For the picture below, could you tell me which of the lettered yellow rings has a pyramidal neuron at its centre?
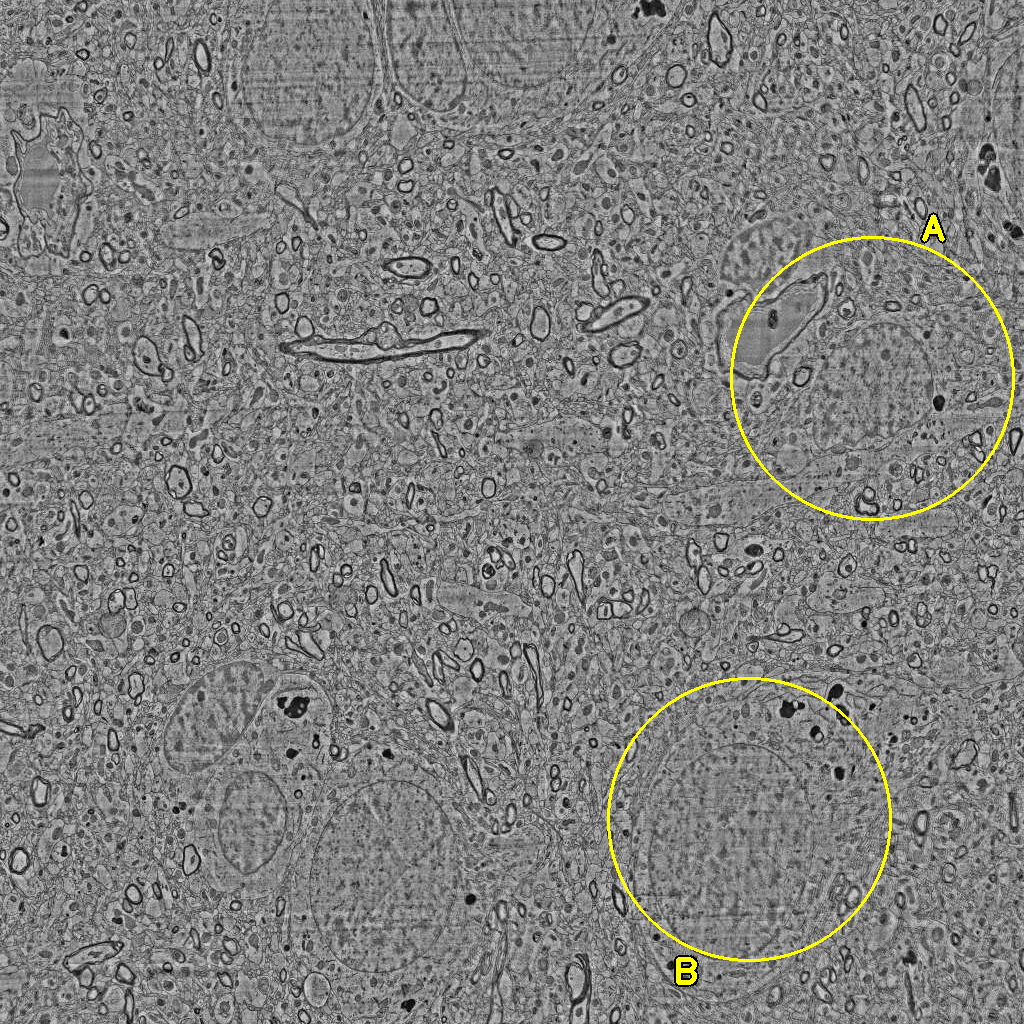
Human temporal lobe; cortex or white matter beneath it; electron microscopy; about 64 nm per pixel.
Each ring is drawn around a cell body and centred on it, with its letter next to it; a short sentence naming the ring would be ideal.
Ring B is centred on it.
